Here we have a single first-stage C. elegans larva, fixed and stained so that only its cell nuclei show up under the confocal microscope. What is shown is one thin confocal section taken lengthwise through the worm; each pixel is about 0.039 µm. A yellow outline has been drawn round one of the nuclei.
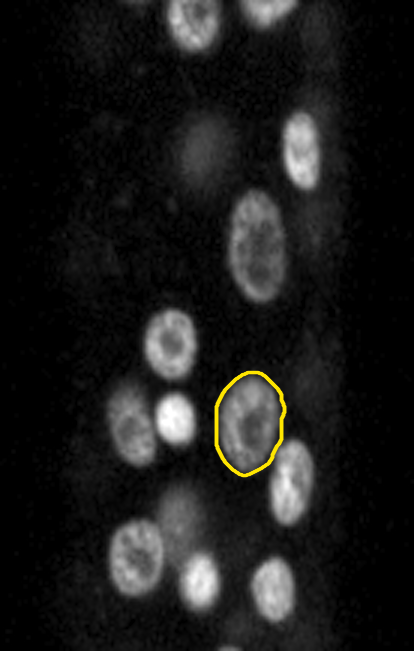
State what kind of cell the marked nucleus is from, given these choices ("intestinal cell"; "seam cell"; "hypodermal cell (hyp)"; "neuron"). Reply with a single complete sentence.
The marked nucleus belongs to an intestinal cell.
